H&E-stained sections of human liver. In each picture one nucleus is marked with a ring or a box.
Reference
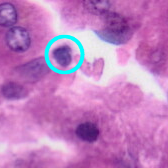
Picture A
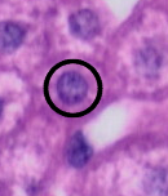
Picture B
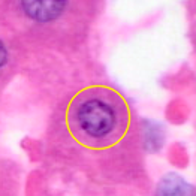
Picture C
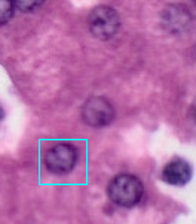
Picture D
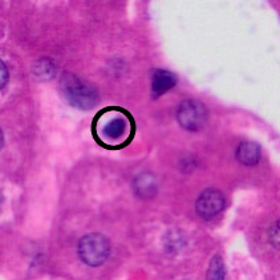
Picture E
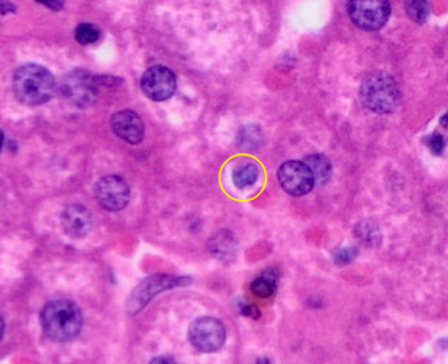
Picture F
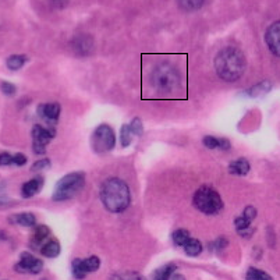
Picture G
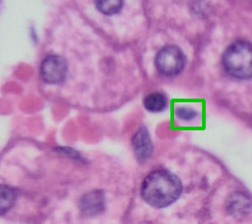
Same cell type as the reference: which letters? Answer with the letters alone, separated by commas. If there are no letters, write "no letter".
D, E, G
